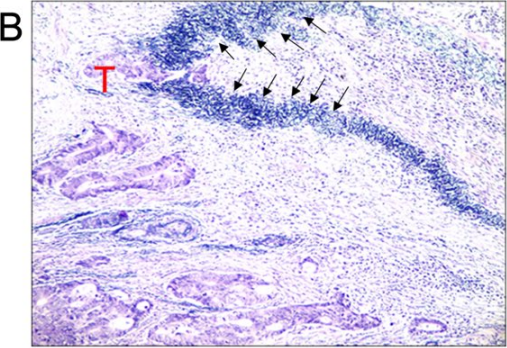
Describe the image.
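This field shows a thick, dark blue elastic lamina running as a wavy band across the upper part of the section, with tumor glands in the stroma nearby. The lamina is stained deep blue-black and stands out against the pale blue-violet fibrous stroma. Along parts of its course the band is broad and frayed, with cells scattered within and around it. Below it lie irregular glandular structures lined by purple-staining epithelium, set in loose stroma. Thinner blue streaks run through the lower left of the field.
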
